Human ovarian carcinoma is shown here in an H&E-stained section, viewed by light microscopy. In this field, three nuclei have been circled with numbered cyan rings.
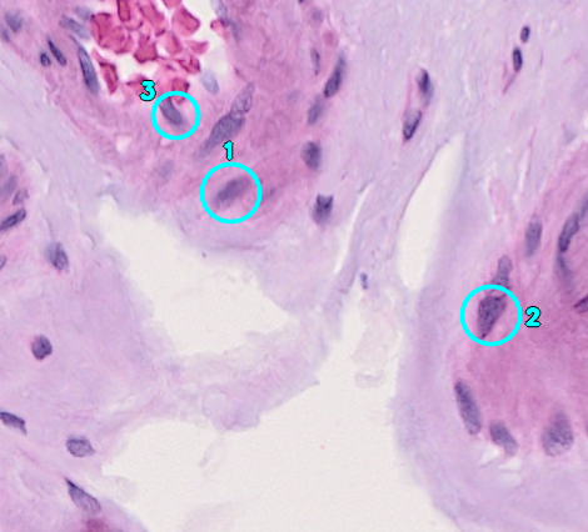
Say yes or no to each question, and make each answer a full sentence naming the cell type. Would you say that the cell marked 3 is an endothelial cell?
Yes, it is an endothelial cell that carries the number 3.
